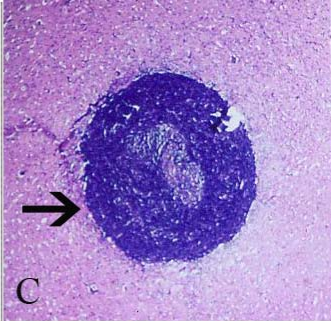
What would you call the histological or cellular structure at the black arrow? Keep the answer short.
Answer: Boundary between tumor and normal tissues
